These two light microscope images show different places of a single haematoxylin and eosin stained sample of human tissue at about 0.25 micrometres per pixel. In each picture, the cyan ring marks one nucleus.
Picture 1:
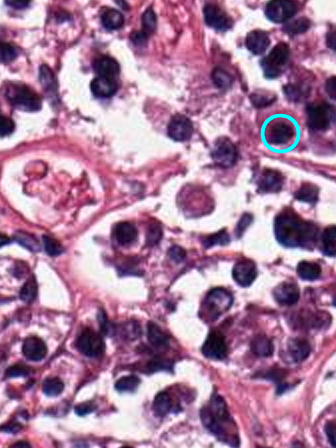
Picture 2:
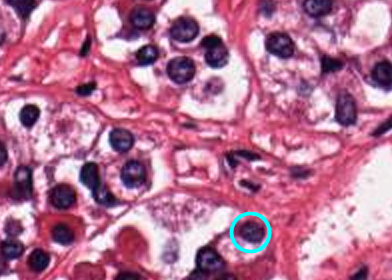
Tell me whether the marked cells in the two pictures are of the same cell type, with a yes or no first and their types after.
Yes, both are anterior pituitary cells.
